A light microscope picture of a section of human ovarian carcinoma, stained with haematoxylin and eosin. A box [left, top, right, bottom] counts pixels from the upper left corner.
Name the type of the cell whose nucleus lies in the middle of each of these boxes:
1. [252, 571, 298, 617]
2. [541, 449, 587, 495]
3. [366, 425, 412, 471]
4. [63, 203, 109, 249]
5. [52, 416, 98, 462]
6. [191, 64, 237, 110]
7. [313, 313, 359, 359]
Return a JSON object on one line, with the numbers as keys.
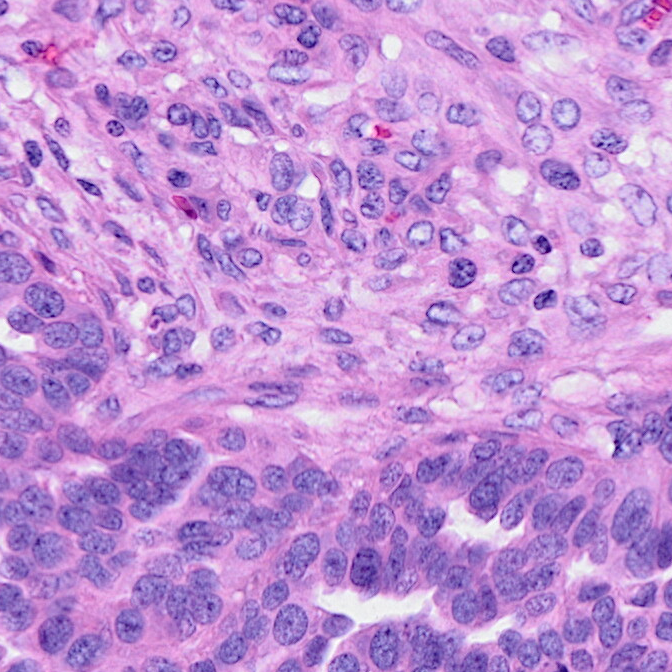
{"1": "carcinoma cell", "2": "carcinoma cell", "3": "fibroblast", "4": "fibroblast", "5": "carcinoma cell", "6": "fibroblast", "7": "fibroblast"}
